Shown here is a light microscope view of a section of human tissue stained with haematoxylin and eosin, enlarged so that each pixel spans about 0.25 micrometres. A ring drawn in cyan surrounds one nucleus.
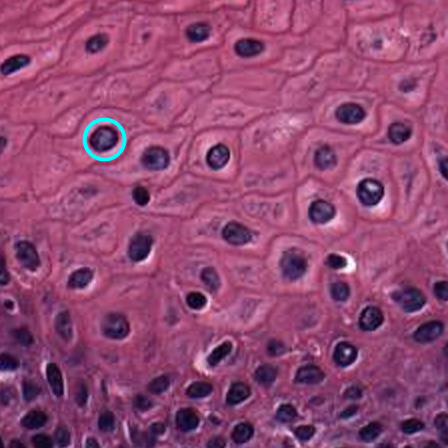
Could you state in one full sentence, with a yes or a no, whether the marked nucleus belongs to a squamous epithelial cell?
Yes, the owner of the marked nucleus is a squamous epithelial cell.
